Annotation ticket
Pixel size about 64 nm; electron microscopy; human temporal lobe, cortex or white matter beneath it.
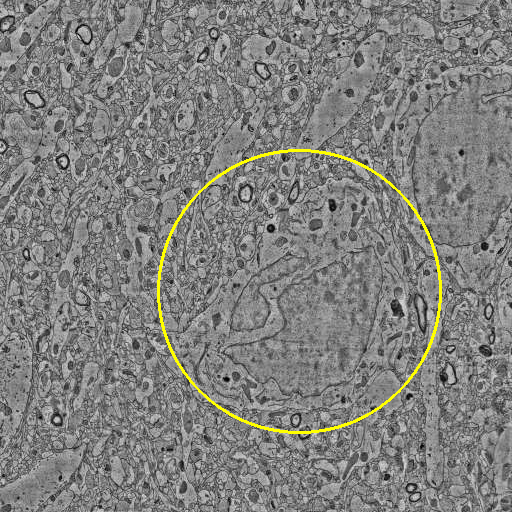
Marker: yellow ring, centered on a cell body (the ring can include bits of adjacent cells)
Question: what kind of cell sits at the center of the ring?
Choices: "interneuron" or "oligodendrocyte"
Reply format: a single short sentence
The ring is centered on an interneuron.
